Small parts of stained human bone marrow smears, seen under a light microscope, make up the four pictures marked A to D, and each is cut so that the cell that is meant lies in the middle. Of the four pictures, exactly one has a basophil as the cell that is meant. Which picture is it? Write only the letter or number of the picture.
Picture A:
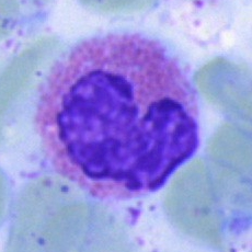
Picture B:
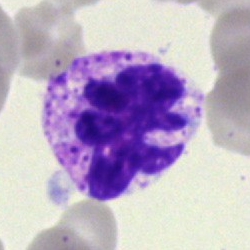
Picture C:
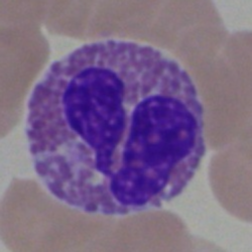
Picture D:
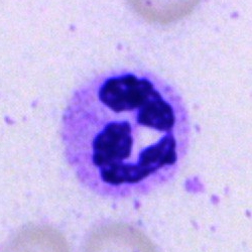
B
